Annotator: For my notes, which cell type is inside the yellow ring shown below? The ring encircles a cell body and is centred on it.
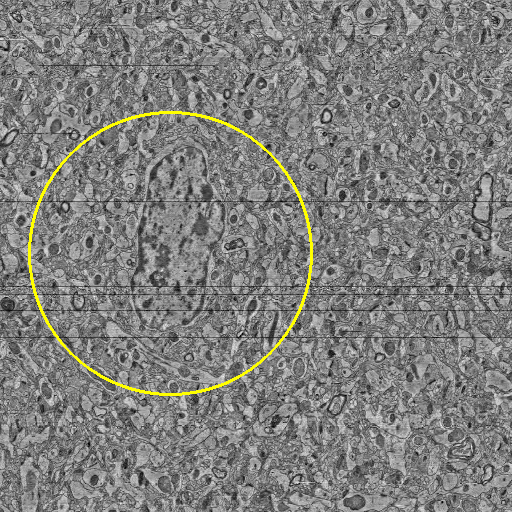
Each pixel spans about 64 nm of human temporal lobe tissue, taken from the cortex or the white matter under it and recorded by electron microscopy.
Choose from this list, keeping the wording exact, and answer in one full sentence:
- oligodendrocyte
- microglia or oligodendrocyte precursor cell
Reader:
At the centre of the yellow ring there is a microglial cell or oligodendrocyte precursor cell, as shown in the picture.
